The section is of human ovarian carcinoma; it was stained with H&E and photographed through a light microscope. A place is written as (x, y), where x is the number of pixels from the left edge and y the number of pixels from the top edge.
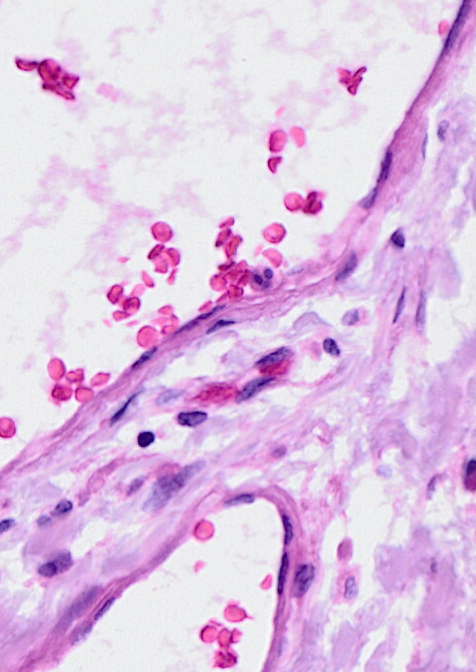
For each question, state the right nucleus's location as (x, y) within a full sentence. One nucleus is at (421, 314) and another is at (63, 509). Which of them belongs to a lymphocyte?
The one nucleus of the two that belongs to a lymphocyte is at (63, 509).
